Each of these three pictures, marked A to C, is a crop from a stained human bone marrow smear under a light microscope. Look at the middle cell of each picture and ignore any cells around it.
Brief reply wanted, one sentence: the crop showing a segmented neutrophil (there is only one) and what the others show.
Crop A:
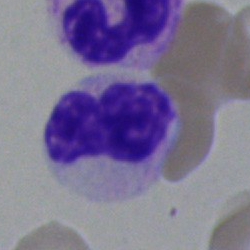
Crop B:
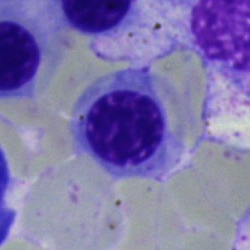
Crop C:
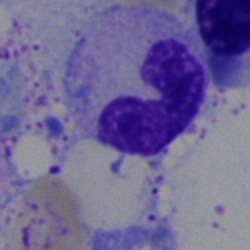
Crop C is identified as a segmented neutrophil, whereas crop A is a band neutrophil and crop B is an erythroblast.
